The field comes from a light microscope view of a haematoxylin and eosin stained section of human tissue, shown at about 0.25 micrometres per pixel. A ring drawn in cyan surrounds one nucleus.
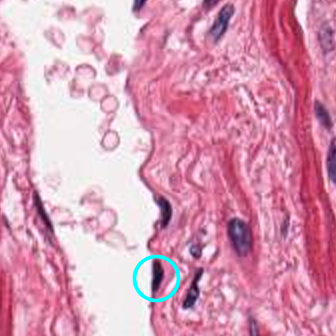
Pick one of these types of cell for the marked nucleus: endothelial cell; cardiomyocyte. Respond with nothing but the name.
endothelial cell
